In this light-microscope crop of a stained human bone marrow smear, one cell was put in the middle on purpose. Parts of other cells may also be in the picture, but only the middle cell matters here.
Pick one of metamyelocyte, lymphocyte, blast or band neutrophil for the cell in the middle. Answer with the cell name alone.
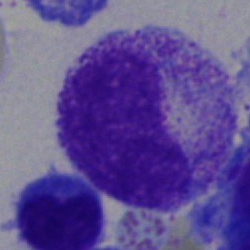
metamyelocyte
